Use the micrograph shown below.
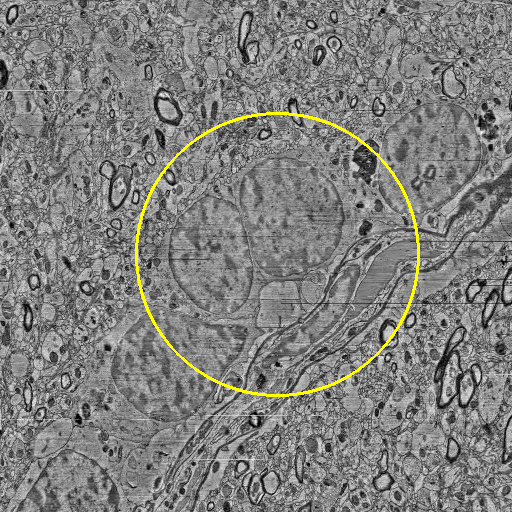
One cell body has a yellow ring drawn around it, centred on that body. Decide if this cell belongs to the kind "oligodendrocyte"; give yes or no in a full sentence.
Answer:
Yes, the cell lying at the ring's centre in the micrograph is of the kind given.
